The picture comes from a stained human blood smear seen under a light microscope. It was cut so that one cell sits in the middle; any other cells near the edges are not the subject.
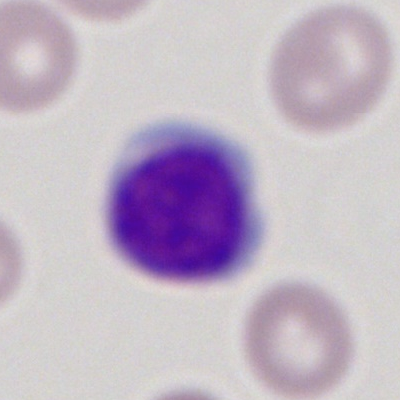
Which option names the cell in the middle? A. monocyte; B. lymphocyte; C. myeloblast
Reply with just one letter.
B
